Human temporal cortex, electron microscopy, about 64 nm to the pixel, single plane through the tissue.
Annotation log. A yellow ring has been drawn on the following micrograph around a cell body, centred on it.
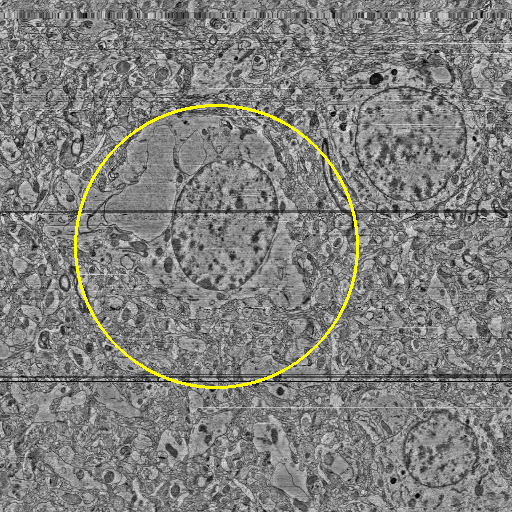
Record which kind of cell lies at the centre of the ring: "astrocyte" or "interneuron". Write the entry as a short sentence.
The cell the ring is centred on is an astrocyte.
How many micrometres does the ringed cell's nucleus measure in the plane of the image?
The nucleus of the ringed cell is approximately 9 by 7 micrometres in this plane.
